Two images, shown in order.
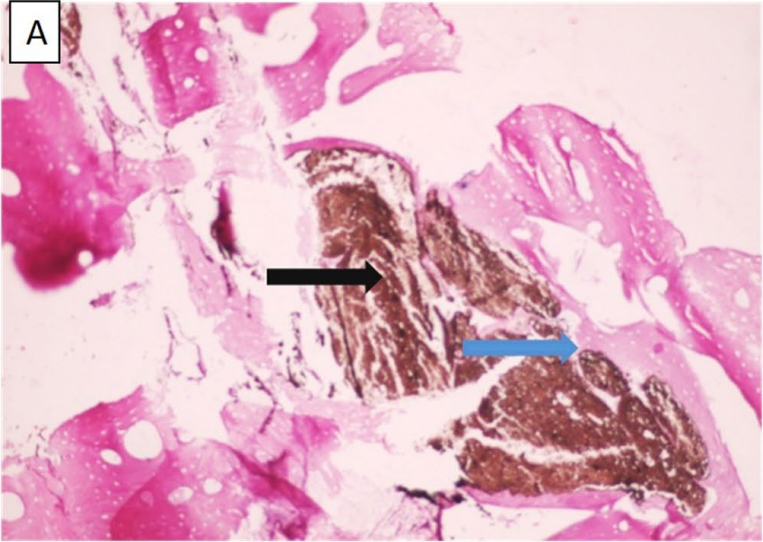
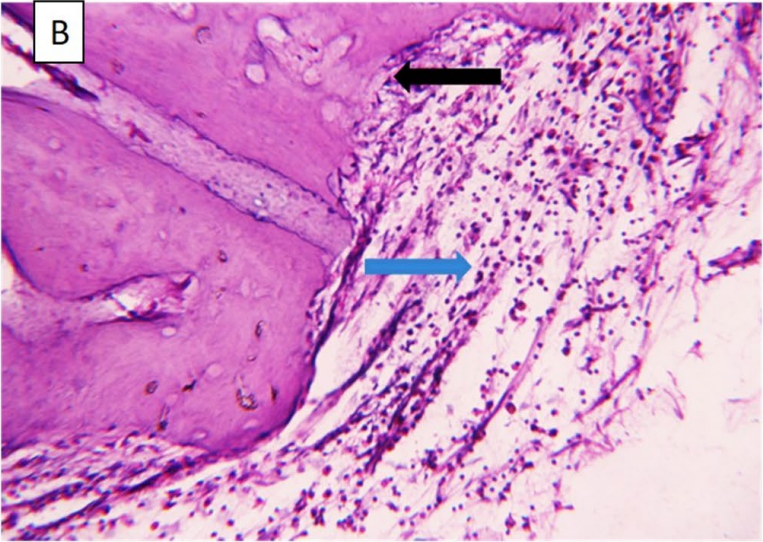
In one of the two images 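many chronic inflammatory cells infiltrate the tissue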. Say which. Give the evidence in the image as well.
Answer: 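The second image. Second image: loose tissue beside the hard tissue is packed with small, round, dark nuclei. First image: the pink hard-tissue fragments and brown material show no crowd of small dark cells around them.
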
